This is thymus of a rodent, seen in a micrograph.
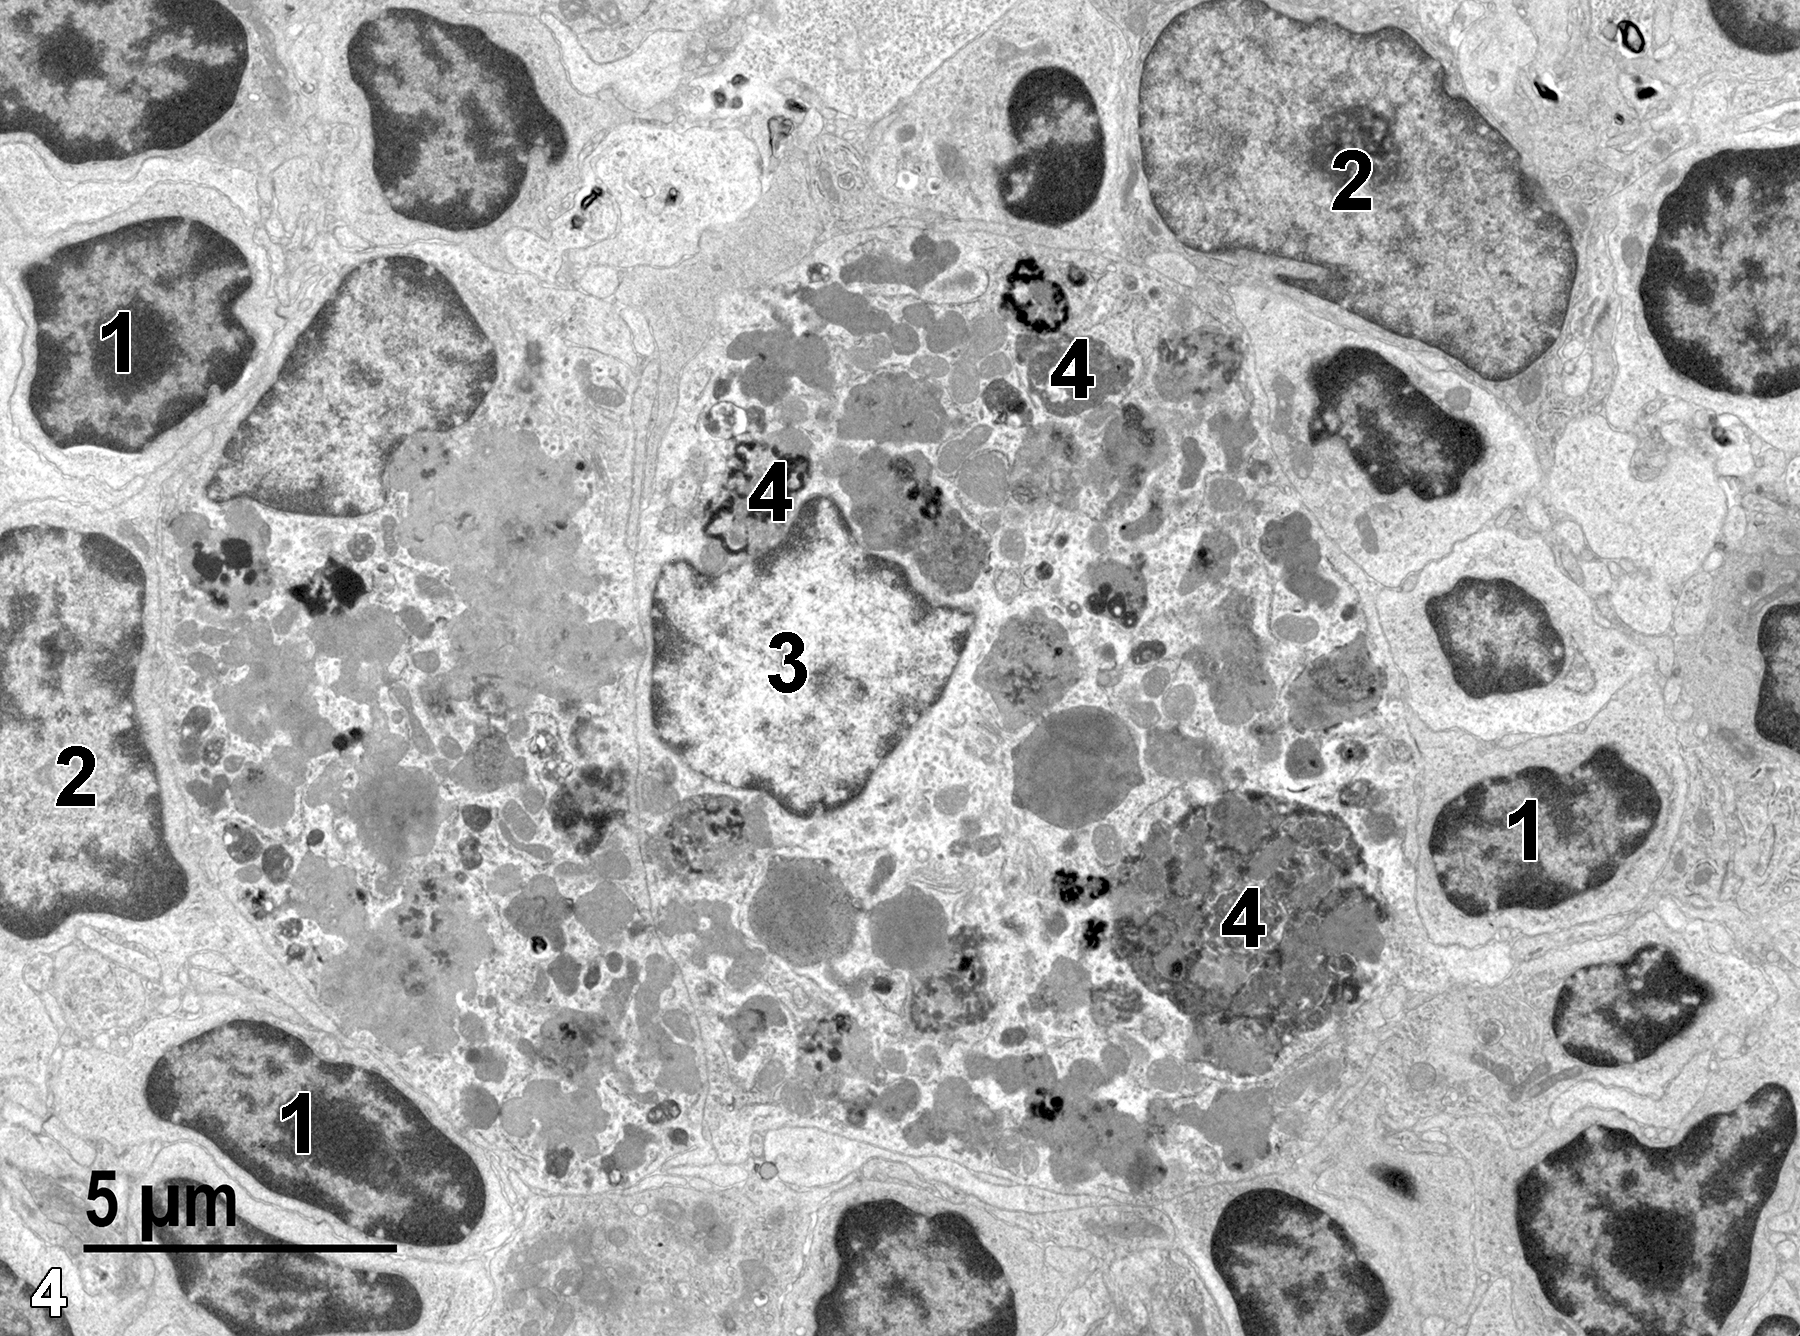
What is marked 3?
Nucleus.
